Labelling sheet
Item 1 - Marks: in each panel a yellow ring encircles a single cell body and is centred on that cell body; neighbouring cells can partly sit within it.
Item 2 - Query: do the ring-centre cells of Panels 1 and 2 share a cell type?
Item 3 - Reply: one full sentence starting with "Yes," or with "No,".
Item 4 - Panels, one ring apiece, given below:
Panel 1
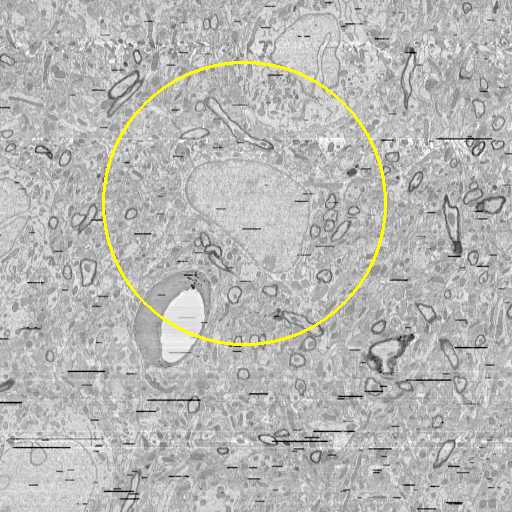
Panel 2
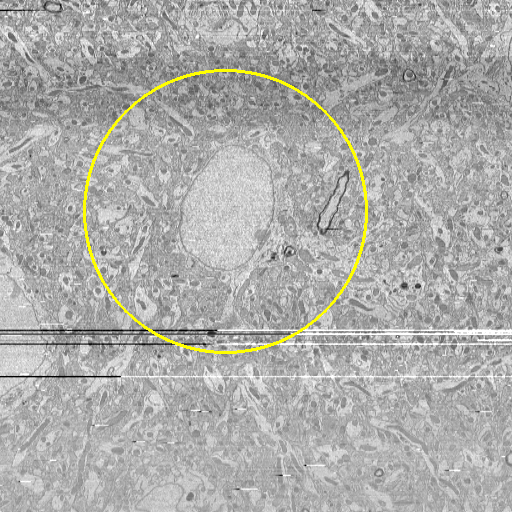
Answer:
Yes, Panel 1 and Panel 2 show one cell type at the centres of their rings.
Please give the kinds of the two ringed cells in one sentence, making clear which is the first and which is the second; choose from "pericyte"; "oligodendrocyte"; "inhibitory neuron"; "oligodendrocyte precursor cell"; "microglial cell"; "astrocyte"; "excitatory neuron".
In both pictures the ring is centred on an astrocyte.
